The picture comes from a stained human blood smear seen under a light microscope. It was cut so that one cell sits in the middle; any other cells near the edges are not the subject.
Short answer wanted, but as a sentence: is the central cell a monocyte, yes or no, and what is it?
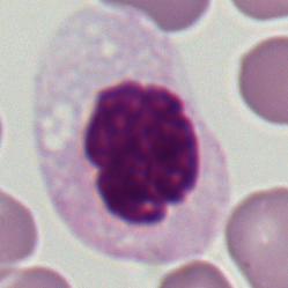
No, the central cell is identified not as a monocyte but as a neutrophil.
